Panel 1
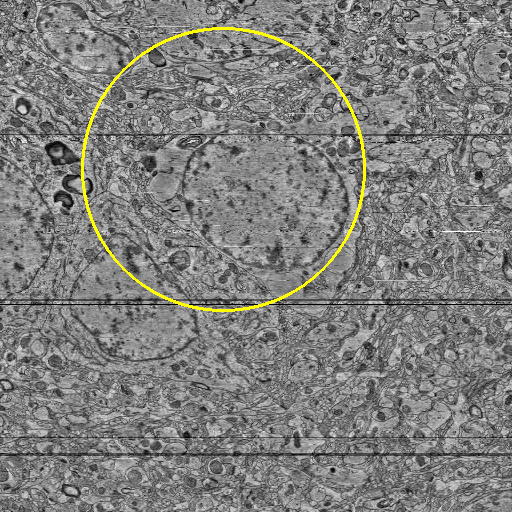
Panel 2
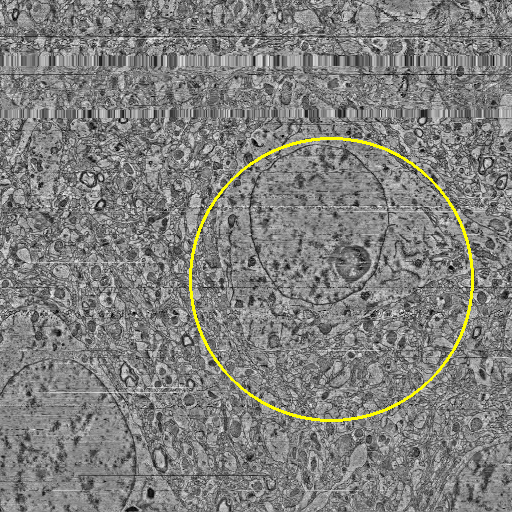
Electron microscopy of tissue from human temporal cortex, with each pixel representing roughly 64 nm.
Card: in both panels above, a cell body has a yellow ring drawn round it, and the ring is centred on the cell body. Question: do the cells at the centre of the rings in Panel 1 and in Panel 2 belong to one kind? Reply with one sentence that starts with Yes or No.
No, the cells centred in the rings of Panel 1 and Panel 2 are two kinds of cell.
